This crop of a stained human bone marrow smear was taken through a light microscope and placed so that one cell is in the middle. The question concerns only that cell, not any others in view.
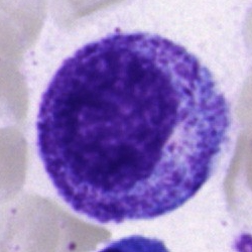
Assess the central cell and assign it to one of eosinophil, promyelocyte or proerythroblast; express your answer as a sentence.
The cell at the middle of the crop is recognized as a promyelocyte.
